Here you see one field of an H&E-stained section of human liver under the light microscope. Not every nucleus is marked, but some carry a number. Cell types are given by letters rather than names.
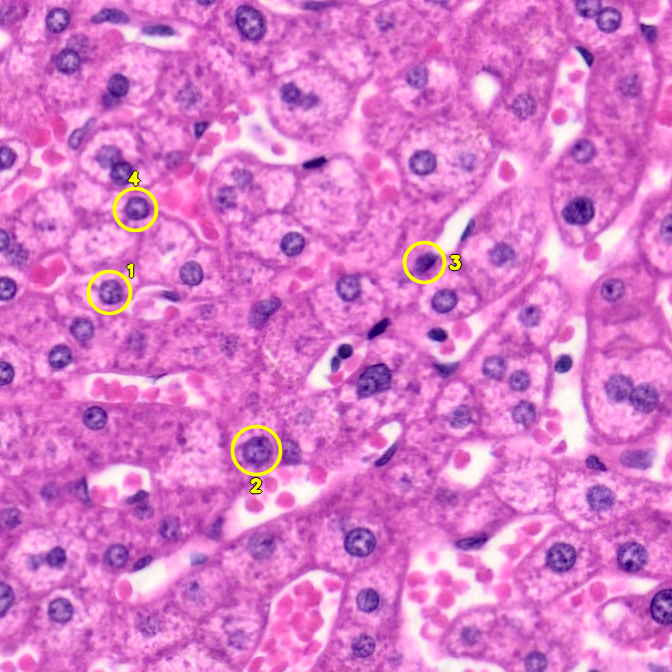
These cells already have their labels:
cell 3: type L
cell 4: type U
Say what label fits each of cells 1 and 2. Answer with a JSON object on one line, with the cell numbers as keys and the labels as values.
{"1": "type U", "2": "type U"}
